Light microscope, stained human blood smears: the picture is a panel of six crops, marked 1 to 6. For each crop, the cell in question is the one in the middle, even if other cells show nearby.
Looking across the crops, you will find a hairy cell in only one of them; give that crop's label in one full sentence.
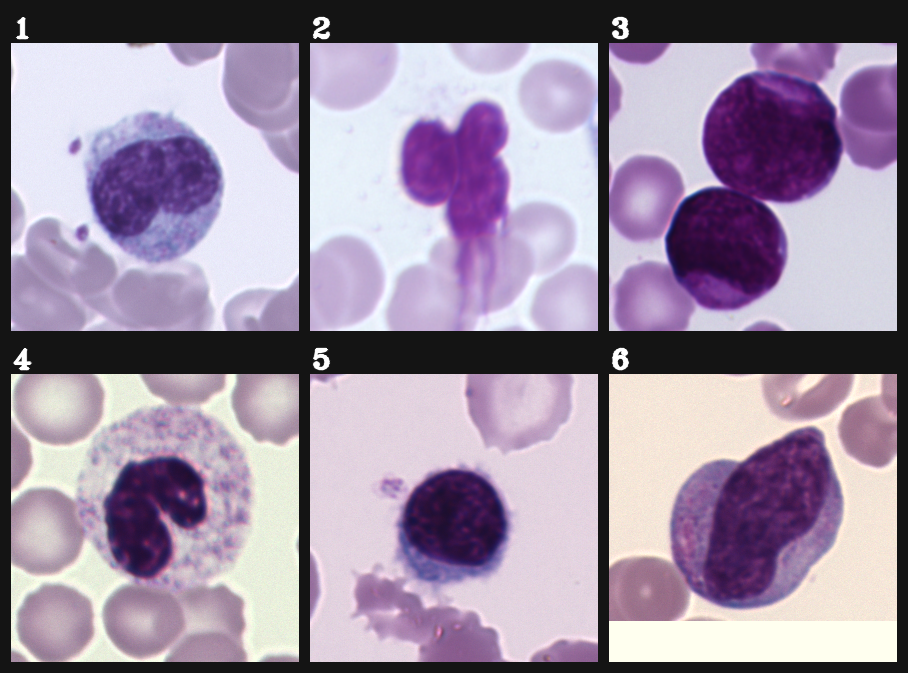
The sole crop showing a hairy cell is crop 5.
